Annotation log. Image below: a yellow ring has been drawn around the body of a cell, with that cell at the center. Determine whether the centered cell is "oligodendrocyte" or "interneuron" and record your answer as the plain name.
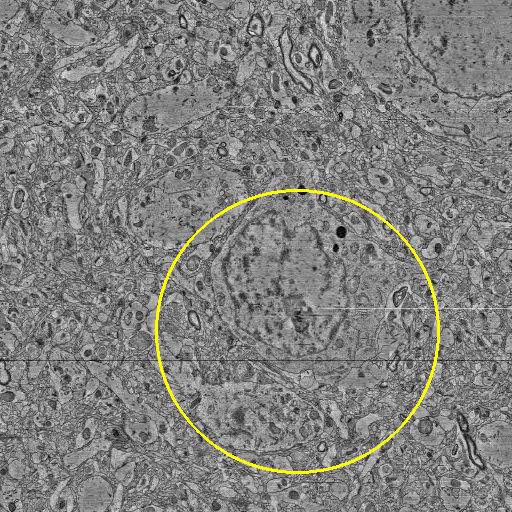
interneuron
